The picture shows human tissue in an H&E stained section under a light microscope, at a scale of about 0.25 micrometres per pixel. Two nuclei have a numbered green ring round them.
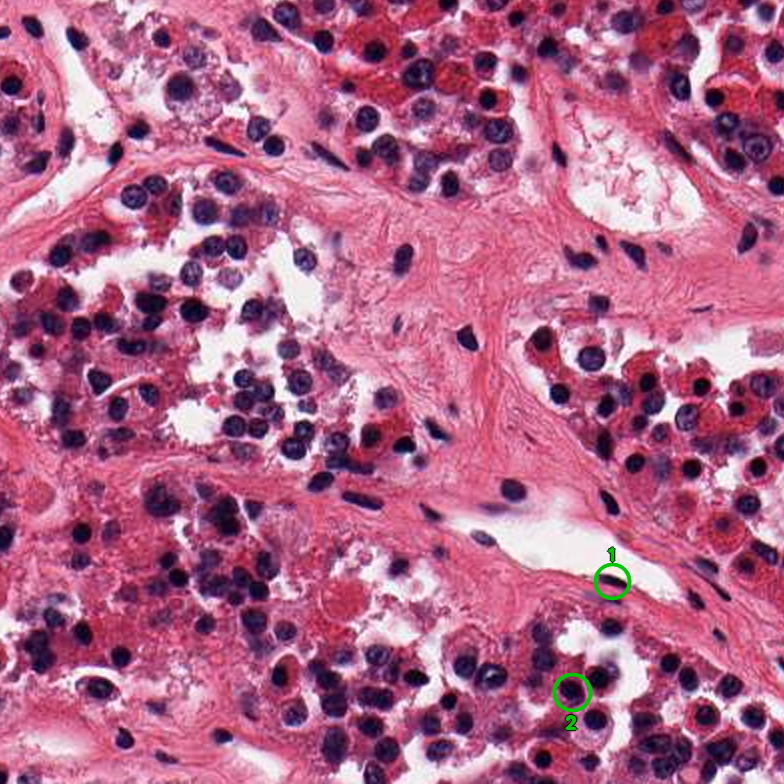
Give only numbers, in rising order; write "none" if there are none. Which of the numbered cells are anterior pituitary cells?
2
